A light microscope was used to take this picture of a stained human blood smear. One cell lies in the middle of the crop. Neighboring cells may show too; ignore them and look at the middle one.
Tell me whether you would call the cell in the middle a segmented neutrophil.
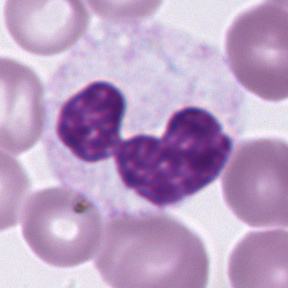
yes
